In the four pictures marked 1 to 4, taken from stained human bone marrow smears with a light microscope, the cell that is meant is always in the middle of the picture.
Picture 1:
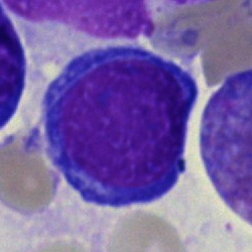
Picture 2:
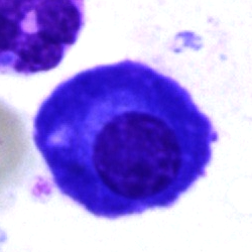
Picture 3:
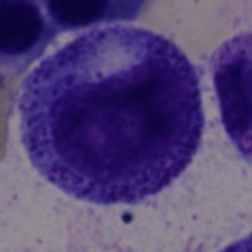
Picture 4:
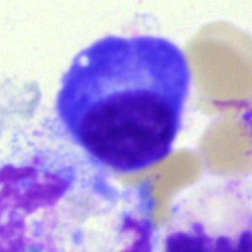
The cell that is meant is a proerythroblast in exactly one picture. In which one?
1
